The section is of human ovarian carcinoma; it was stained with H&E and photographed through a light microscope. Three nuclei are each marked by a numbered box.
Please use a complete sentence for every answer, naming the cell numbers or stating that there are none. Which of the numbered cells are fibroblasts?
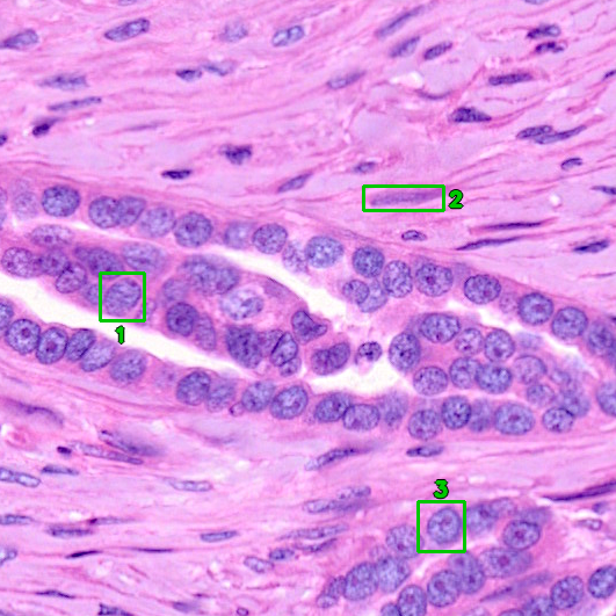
Cell 2 is the single numbered cell that is a fibroblast.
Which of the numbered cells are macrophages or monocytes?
Of the numbered cells, zero are macrophages or monocytes.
